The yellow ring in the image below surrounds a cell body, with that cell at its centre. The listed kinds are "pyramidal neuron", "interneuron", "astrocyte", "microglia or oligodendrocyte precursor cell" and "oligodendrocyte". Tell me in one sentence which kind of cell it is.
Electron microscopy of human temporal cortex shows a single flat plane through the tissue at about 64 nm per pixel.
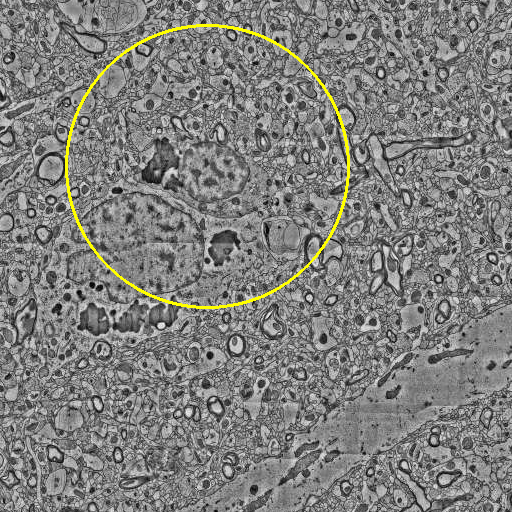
The centre of the ring holds an oligodendrocyte.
